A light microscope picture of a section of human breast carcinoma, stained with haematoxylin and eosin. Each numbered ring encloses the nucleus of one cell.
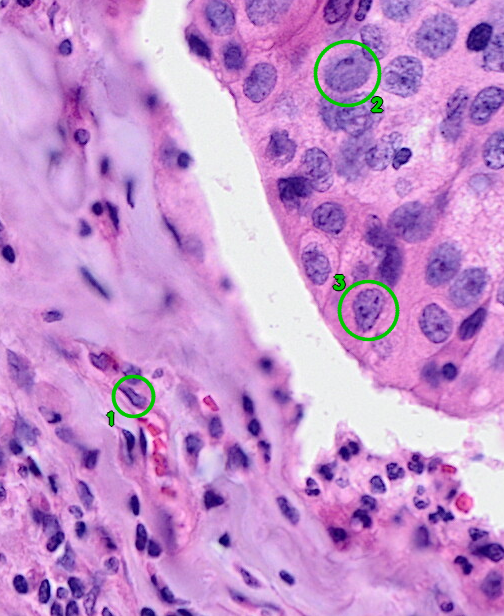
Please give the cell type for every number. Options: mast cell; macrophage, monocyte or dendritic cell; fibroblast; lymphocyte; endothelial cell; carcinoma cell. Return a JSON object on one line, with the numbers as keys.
{"1": "endothelial cell", "2": "carcinoma cell", "3": "carcinoma cell"}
